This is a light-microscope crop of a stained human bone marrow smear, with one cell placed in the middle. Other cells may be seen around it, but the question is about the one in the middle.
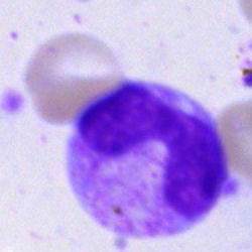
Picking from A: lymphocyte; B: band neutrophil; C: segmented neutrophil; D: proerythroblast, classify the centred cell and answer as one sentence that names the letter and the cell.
That the central cell is a band neutrophil makes option B correct.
